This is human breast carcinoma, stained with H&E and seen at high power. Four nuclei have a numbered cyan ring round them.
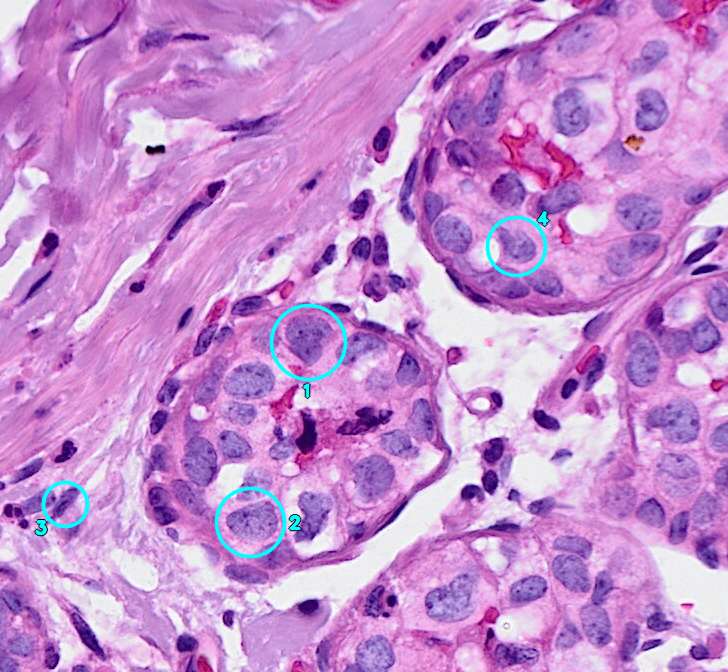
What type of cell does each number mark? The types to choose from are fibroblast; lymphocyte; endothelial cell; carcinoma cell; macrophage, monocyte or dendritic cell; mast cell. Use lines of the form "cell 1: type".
cell 1: carcinoma cell
cell 2: carcinoma cell
cell 3: fibroblast
cell 4: carcinoma cell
